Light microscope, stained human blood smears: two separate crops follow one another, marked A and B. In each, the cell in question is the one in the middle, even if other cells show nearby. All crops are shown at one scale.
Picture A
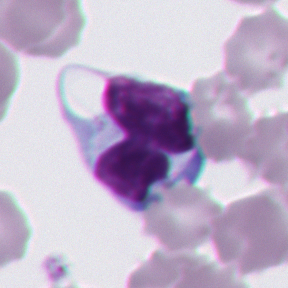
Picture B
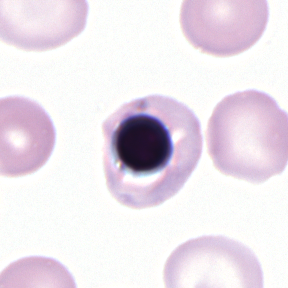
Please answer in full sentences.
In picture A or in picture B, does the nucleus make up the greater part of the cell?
Of the two, the nucleus in picture A makes up the greater part of its cell.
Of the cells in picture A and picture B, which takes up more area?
Picture A holds the larger cell; it covers about 1.5 times the area of the cell in picture B.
